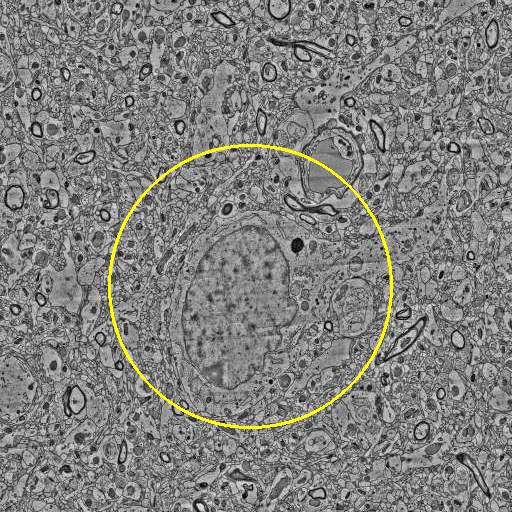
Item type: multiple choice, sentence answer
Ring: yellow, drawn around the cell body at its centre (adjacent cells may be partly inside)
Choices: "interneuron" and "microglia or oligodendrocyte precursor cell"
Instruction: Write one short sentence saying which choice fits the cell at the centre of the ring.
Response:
This ring is drawn around an interneuron.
